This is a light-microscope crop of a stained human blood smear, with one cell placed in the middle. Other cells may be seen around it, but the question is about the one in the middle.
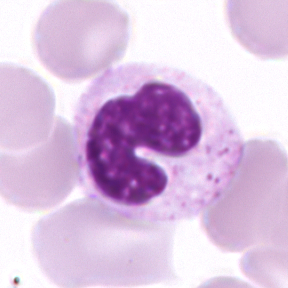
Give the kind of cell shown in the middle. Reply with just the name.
band neutrophil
